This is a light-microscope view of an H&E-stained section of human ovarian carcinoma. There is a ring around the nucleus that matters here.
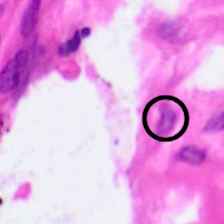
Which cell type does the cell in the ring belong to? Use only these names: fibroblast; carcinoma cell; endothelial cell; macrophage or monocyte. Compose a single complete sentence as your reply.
Microscopically, the cell in the ring is categorized as a fibroblast.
